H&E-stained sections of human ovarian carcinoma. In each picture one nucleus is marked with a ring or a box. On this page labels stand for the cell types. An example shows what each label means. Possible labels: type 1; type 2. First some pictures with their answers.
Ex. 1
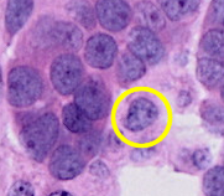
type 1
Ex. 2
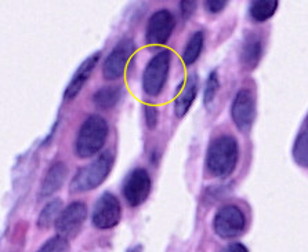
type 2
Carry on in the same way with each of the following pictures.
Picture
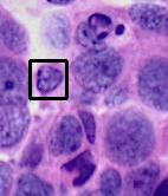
type 1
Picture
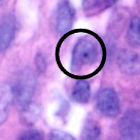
type 1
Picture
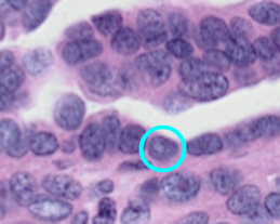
type 2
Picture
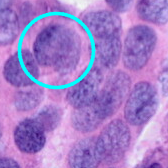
type 2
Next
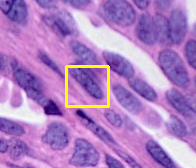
type 2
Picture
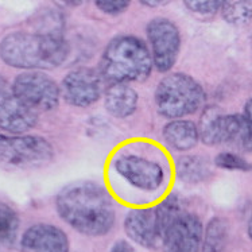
type 1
